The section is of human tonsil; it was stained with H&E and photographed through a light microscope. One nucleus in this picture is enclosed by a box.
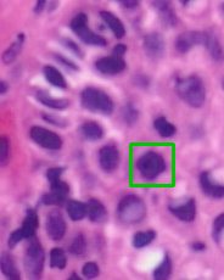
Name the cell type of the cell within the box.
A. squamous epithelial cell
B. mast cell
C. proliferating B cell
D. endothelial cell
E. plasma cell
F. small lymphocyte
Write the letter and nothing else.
A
